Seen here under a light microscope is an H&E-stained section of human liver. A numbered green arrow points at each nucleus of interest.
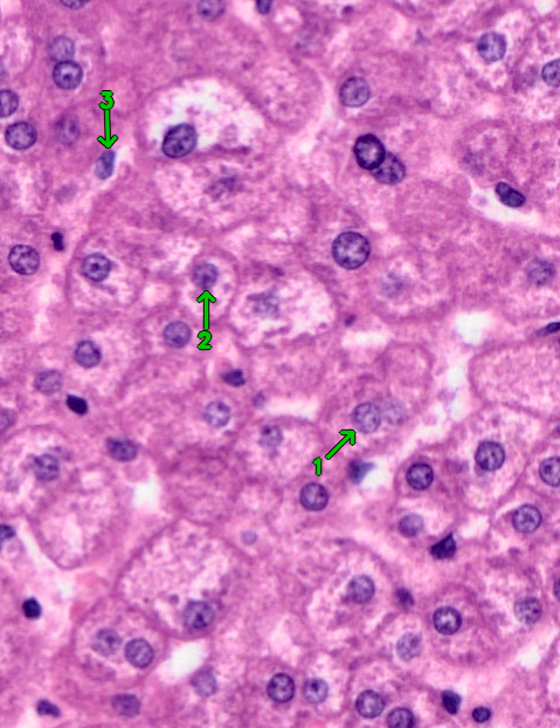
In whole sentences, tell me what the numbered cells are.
Cells 1 and 2 are hepatocytes. Cell 3 is an endothelial cell.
